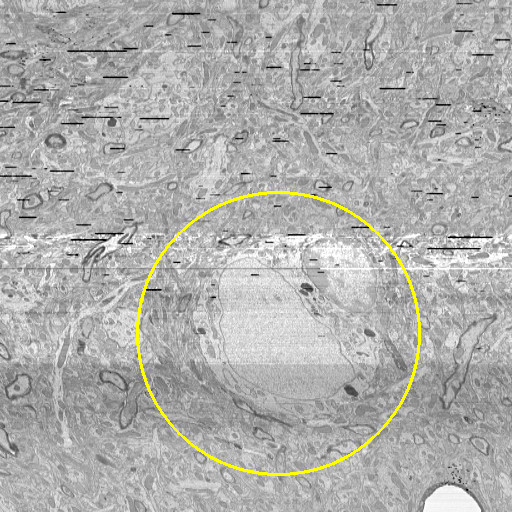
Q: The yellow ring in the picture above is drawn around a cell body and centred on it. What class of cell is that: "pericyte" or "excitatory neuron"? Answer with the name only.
excitatory neuron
